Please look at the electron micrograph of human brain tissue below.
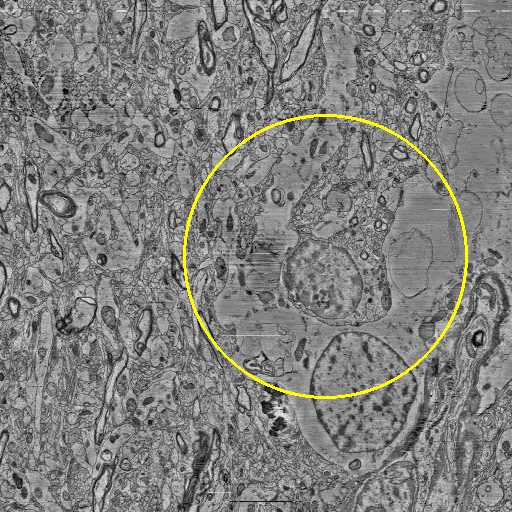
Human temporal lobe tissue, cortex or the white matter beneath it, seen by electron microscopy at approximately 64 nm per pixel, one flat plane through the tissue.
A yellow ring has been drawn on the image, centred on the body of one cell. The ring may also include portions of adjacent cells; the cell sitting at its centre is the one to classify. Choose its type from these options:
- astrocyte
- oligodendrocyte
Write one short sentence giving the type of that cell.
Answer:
The cell in the middle of the ring is an oligodendrocyte.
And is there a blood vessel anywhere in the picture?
Yes.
